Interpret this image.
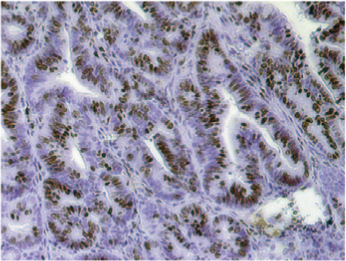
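Adenoma of the colon made of crowded, irregular, branching glands separated by scant stroma. The glands are lined by tall columnar epithelial cells with elongated, pencil-shaped, stratified nuclei; a large share of these nuclei are stained brown, while the rest are blue. Glandular lumens are narrow and slit-like or branching. Goblet cells with clear mucus are largely absent. Thin strands of stroma with small blue spindle-shaped nuclei lie between the glands.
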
